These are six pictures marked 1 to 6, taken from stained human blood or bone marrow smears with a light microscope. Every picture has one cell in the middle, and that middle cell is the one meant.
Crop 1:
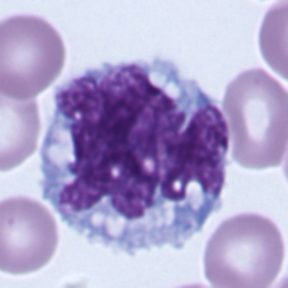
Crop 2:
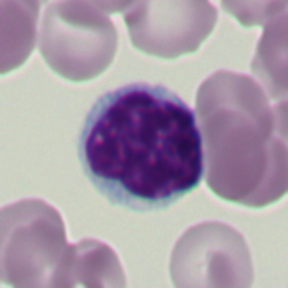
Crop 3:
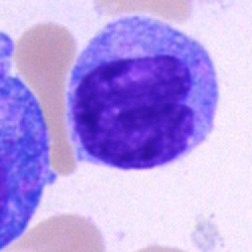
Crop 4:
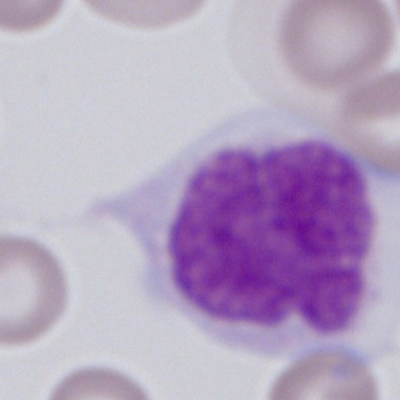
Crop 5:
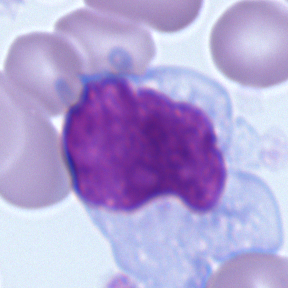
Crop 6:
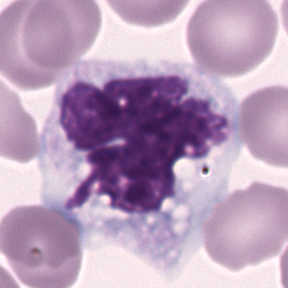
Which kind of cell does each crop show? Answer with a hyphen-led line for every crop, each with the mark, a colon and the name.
- 1: monocyte
- 2: lymphocyte
- 3: monocyte
- 4: monocyte
- 5: monocyte
- 6: monocyte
